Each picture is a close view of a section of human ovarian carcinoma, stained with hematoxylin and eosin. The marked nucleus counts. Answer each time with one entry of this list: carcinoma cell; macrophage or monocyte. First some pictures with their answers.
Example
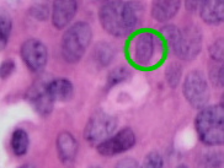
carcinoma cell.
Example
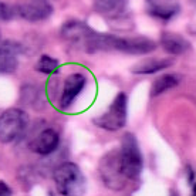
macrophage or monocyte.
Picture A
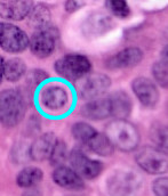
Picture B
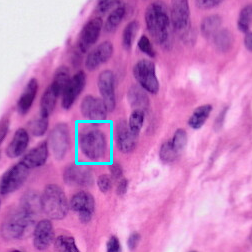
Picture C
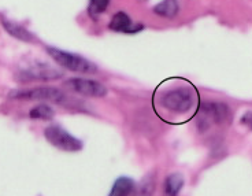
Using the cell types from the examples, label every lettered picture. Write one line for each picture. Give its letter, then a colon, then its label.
A: macrophage or monocyte.
B: carcinoma cell.
C: carcinoma cell.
